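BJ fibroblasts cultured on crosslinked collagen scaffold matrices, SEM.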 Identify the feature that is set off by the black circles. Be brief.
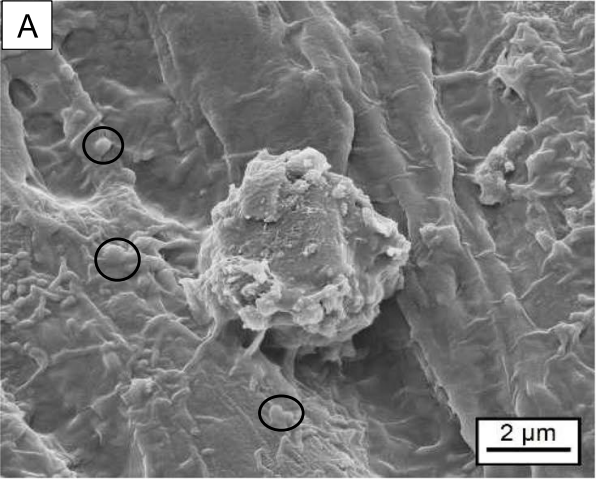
Microvesicles.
